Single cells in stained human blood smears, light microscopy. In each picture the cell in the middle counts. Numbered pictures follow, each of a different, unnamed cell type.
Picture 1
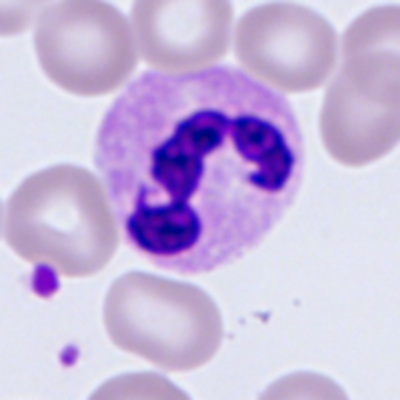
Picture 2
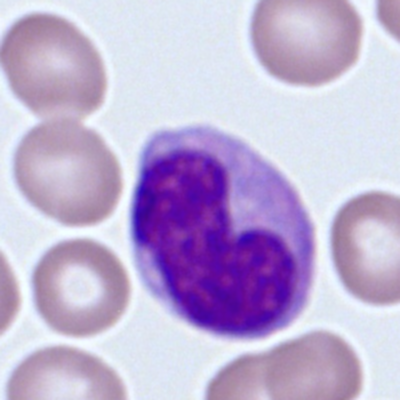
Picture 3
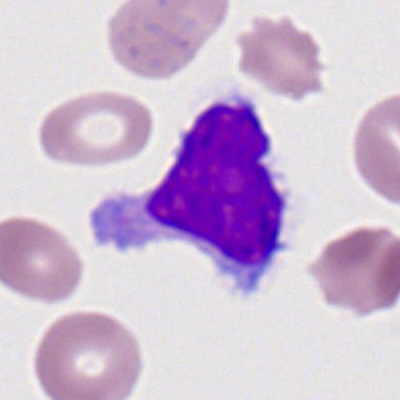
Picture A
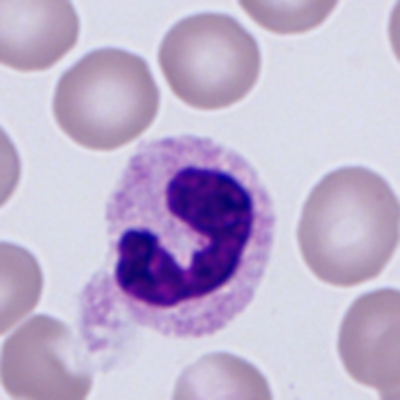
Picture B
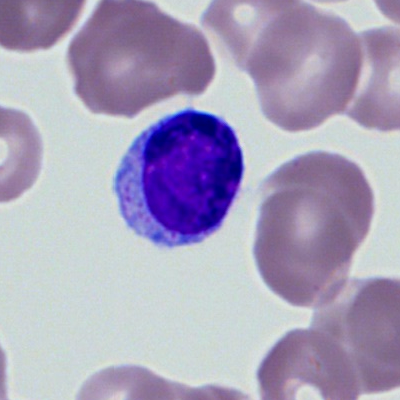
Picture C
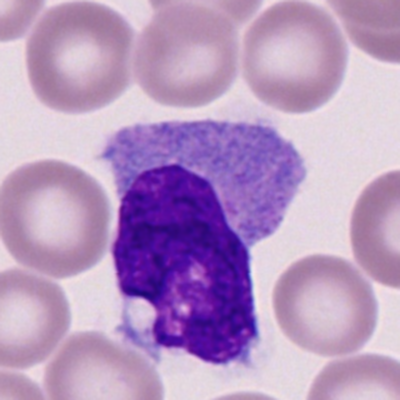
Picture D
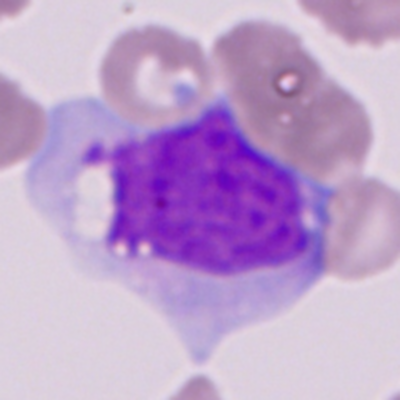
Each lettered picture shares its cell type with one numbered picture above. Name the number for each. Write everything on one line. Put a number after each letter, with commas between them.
A 1, B 3, C 2, D 2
